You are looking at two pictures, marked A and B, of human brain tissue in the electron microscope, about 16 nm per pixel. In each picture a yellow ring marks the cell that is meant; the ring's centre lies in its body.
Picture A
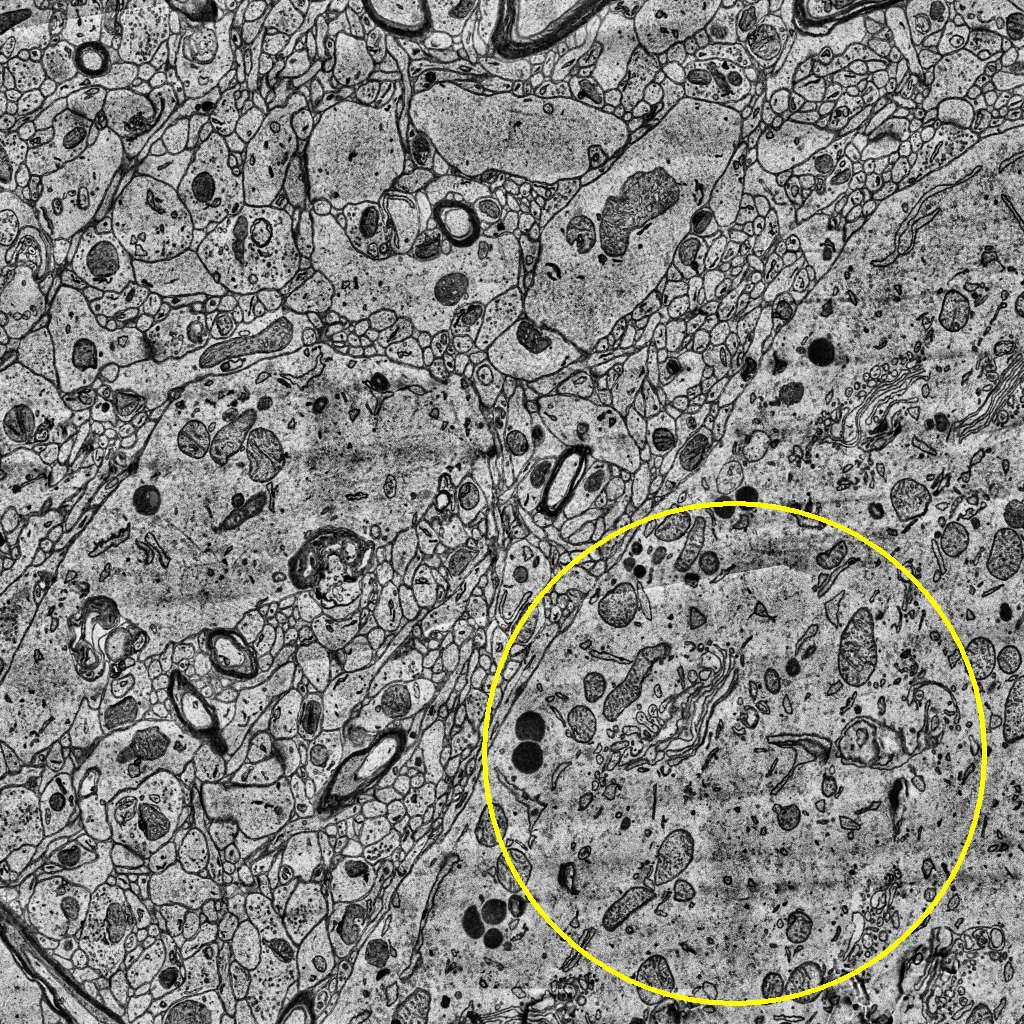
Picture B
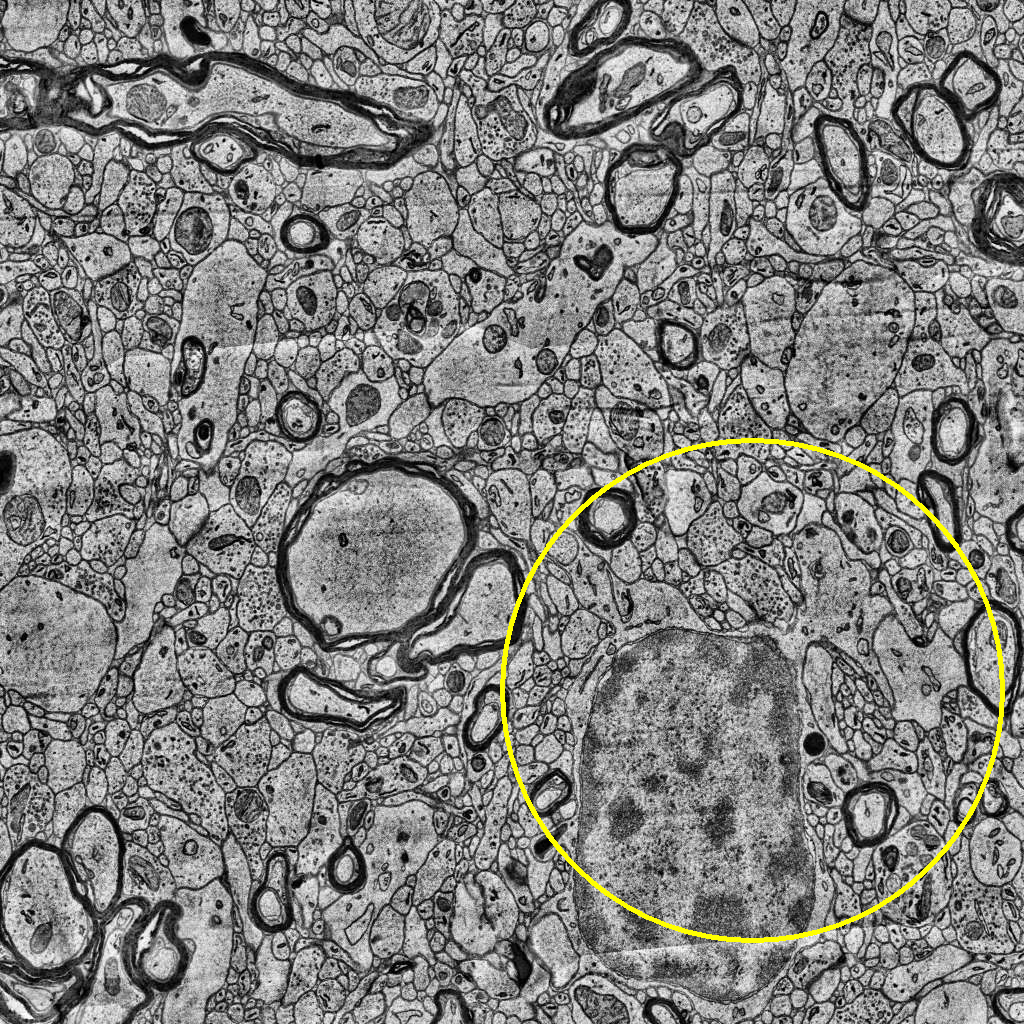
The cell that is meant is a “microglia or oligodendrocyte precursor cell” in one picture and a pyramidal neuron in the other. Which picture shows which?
Picture A shows a pyramidal neuron and picture B shows a “microglia or oligodendrocyte precursor cell”.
